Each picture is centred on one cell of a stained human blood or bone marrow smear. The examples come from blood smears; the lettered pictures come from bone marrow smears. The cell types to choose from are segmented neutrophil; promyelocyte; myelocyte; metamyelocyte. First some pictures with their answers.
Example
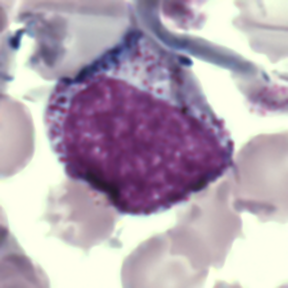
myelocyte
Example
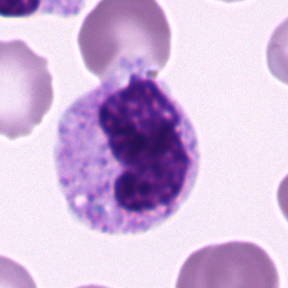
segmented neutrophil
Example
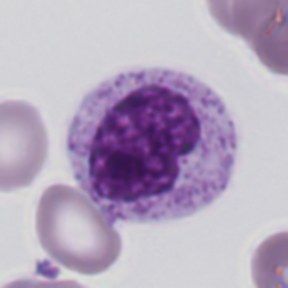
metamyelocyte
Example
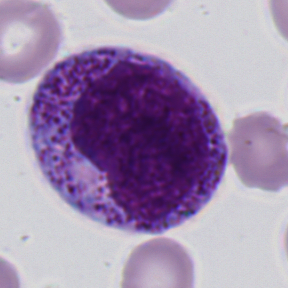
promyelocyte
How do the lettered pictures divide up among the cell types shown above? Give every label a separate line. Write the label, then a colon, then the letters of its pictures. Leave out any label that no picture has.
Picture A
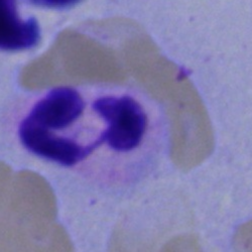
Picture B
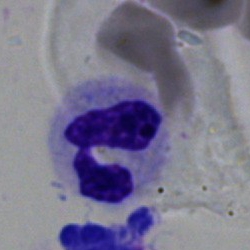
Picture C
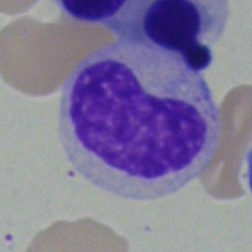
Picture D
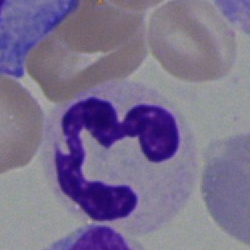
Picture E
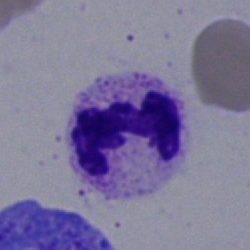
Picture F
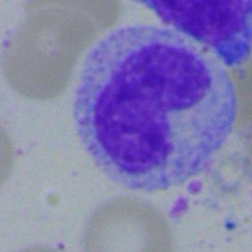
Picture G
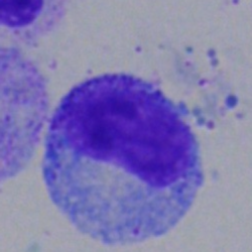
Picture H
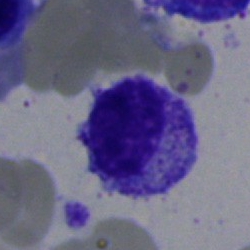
segmented neutrophil: A, B, D, E
myelocyte: H
metamyelocyte: C, F, G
